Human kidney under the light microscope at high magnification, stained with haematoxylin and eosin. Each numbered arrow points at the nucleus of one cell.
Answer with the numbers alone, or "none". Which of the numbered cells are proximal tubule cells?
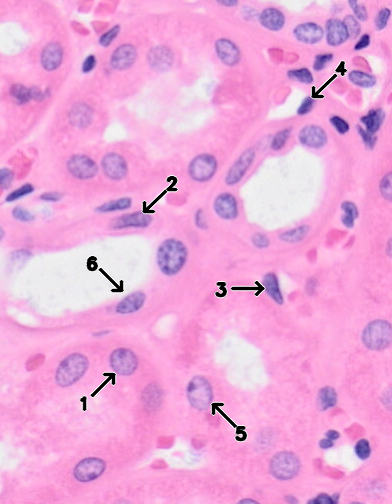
1, 5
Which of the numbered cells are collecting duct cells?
2, 6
